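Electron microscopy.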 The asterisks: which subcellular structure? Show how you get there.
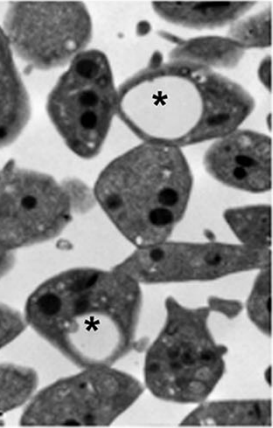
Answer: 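Each asterisk lies in a round, pale, empty-looking space inside a cell profile. The pale spaces are bounded by a thin membrane and take up much of the cell's area. The surrounding cytoplasm is grey with dark round granules.
Hence: large vacuoles.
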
